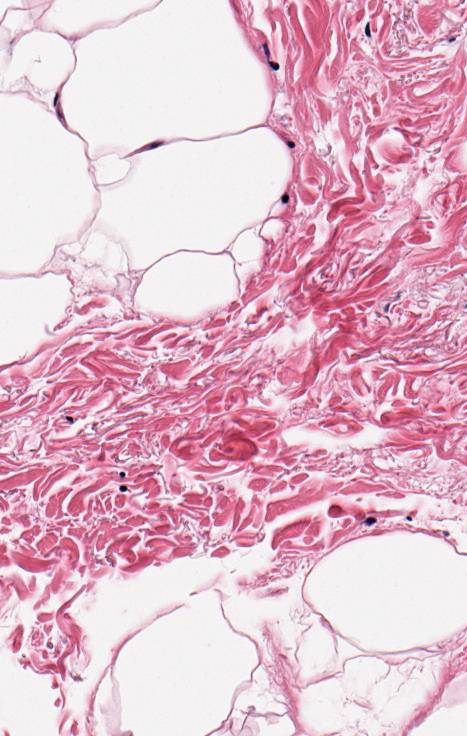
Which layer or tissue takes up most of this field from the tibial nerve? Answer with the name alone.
epineurium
